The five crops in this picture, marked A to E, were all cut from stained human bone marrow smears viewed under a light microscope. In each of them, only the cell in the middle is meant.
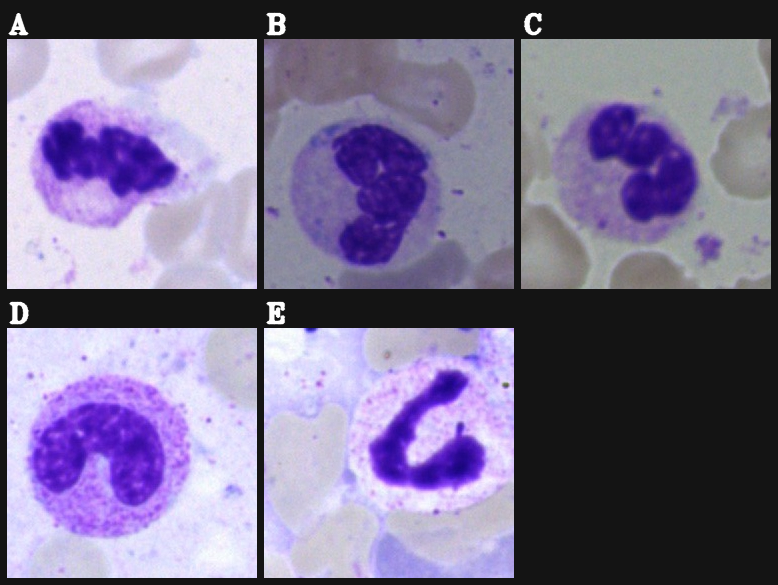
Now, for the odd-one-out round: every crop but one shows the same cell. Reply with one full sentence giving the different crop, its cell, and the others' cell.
Crop D does not fit, being a band neutrophil where all the others show segmented neutrophils.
